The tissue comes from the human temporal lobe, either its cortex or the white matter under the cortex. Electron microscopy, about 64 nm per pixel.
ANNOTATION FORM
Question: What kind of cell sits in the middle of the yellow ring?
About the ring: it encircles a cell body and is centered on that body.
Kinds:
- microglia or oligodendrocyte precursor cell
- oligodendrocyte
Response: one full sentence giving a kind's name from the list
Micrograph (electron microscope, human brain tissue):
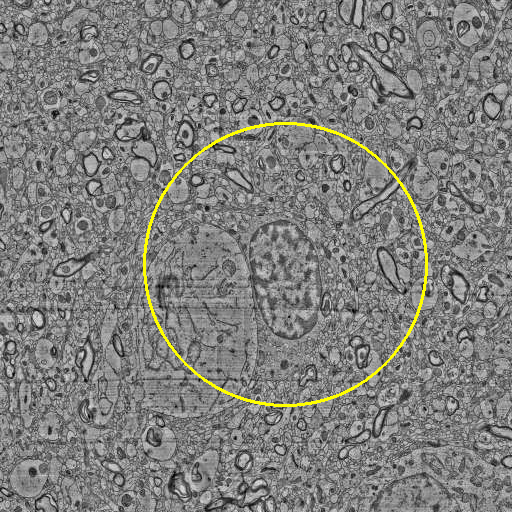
The kind of cell found at the center of the yellow ring in the micrograph is an oligodendrocyte.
